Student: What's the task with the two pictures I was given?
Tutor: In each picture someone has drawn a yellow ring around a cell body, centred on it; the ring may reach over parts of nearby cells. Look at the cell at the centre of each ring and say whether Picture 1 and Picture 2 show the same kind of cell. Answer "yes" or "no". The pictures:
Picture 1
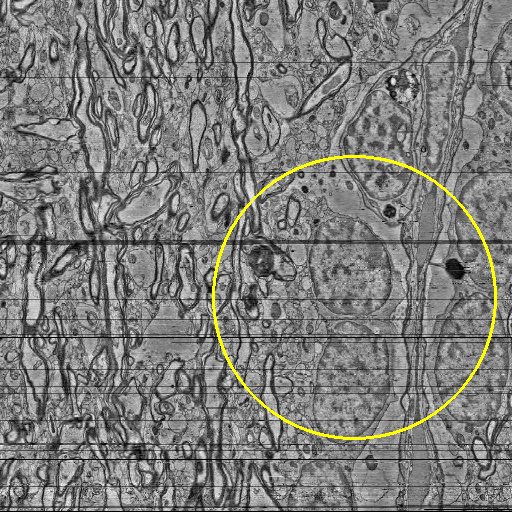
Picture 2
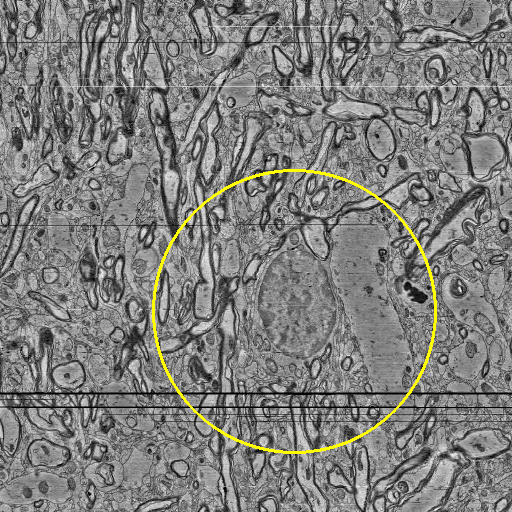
yes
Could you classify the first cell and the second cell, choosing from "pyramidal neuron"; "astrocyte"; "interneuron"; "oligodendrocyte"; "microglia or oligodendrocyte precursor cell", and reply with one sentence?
In each picture the ringed cell is an oligodendrocyte.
